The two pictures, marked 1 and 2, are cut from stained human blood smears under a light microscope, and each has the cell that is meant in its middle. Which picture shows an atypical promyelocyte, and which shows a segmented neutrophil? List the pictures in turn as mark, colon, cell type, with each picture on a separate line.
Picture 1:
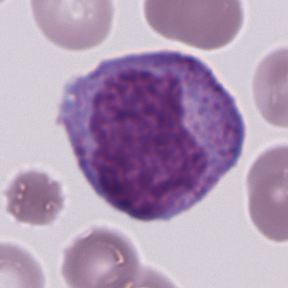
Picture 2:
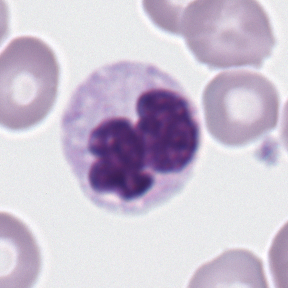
1: atypical promyelocyte
2: segmented neutrophil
